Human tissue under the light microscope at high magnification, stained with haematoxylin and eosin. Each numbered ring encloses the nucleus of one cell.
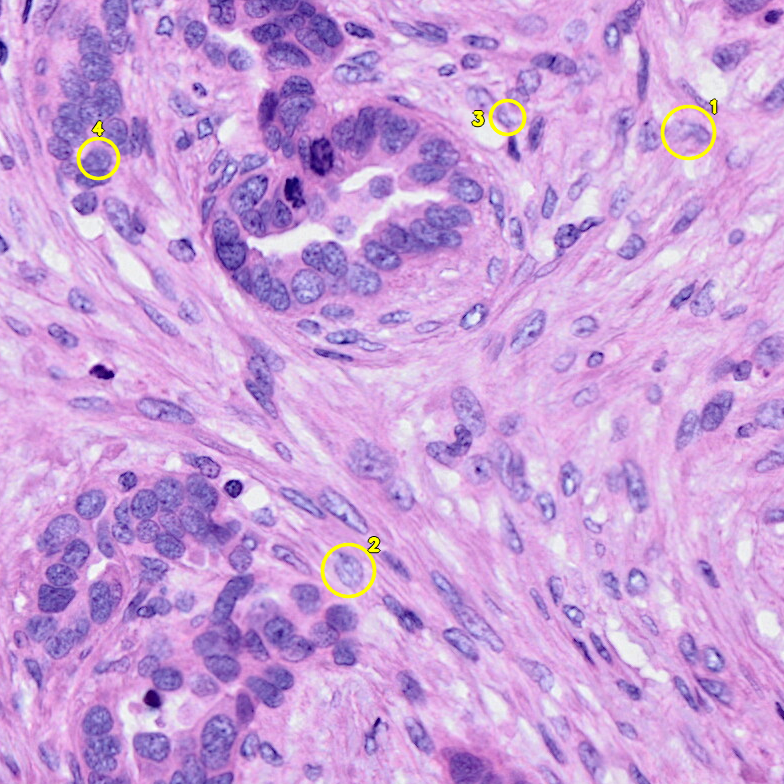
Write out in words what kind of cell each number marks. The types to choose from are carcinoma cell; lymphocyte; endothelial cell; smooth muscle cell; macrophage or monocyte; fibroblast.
Cells 1, 2 and 3 are fibroblasts. Cell 4 is a carcinoma cell.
